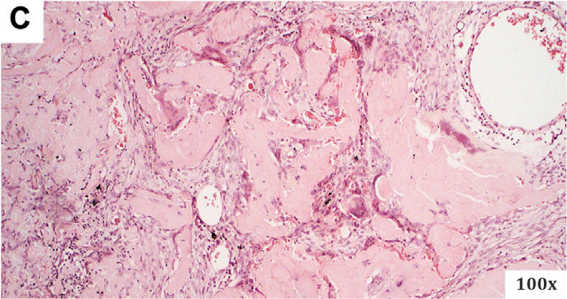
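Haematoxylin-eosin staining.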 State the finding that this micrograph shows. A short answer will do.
amyloid deposits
